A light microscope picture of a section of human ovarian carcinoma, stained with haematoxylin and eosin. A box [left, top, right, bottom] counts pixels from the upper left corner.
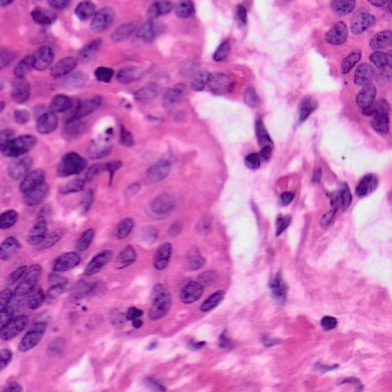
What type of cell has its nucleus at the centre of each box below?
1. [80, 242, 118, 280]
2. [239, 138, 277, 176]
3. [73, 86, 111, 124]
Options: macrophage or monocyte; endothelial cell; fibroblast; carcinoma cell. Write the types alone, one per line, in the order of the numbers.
carcinoma cell
macrophage or monocyte
carcinoma cell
